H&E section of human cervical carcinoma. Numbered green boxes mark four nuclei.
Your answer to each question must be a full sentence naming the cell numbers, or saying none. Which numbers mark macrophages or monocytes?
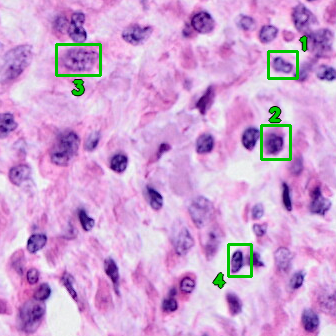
The cell labelled 3 is a macrophage or monocyte, while the remaining numbered cells are not.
